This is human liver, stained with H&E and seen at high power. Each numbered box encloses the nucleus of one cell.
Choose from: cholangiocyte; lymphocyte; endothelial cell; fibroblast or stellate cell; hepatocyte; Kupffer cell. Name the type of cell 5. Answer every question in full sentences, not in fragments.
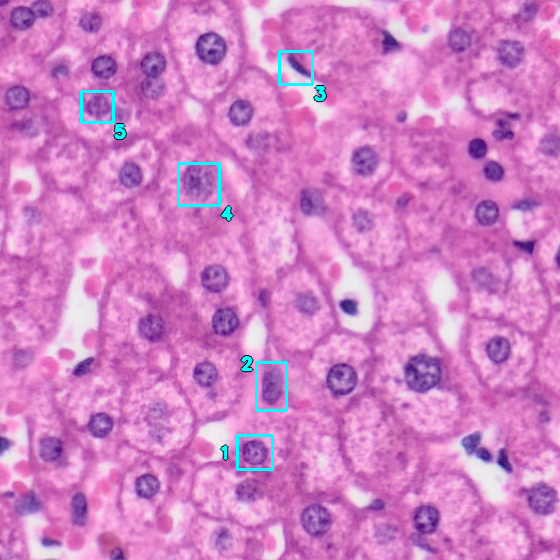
The cell that carries the label 5 is a hepatocyte.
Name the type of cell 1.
Cell 1 should be recorded as a hepatocyte.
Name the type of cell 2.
Cell 2, as marked in the section, is a Kupffer cell.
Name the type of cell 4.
The cell indicated with the number 4 is classed as a hepatocyte.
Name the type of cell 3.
Classified as an endothelial cell is the cell with the number 3.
